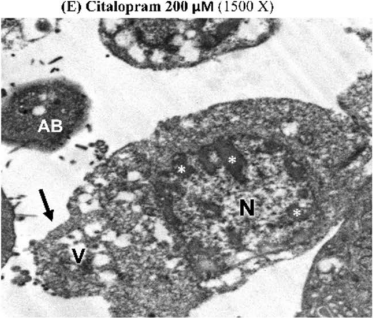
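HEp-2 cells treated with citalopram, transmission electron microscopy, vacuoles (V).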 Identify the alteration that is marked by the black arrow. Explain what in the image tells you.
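Membrane blebbing. The arrow points at a bulging protrusion of the cell surface. The protrusion is filled with vacuolated cytoplasm.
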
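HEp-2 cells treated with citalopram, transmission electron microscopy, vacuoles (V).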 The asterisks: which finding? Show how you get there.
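Separate aggregates of chromatin. Several separate dark dense clumps lie within the nucleus at the asterisks.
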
